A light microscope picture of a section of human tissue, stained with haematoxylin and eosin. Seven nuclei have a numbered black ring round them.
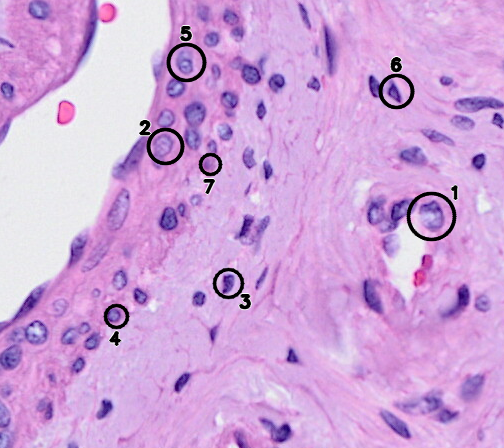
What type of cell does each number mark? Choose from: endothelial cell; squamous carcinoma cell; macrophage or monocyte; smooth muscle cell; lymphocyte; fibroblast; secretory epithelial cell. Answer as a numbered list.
1. endothelial cell
2. smooth muscle cell
3. fibroblast
4. smooth muscle cell
5. smooth muscle cell
6. fibroblast
7. smooth muscle cell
